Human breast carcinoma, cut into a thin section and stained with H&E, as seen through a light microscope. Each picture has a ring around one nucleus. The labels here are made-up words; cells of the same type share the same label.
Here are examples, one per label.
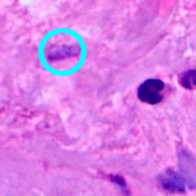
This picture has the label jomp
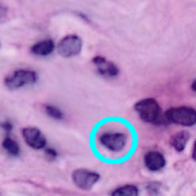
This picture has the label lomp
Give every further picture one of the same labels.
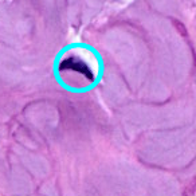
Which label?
jomp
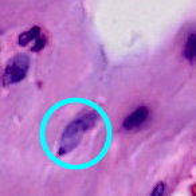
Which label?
jomp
